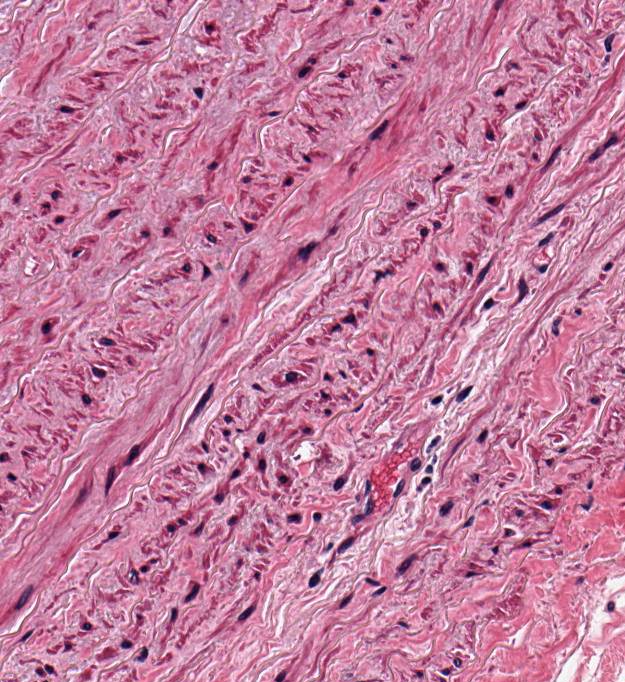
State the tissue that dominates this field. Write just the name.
tunica media of an artery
